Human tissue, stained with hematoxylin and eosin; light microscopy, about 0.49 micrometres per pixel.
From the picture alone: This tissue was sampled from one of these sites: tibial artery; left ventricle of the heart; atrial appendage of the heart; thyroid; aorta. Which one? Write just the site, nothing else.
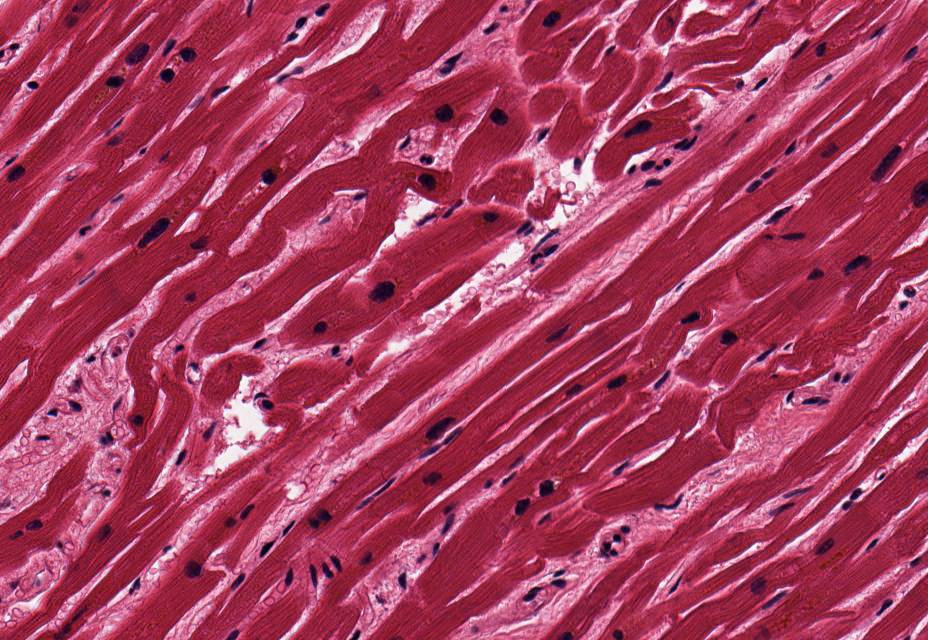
left ventricle of the heart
